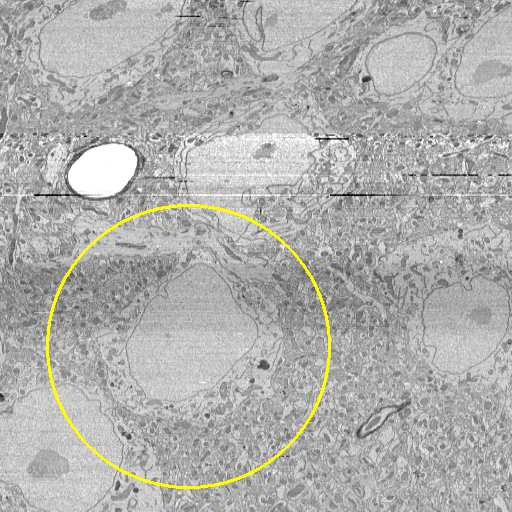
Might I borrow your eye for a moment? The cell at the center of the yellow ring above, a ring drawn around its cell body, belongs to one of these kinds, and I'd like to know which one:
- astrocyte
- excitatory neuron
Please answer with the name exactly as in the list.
excitatory neuron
